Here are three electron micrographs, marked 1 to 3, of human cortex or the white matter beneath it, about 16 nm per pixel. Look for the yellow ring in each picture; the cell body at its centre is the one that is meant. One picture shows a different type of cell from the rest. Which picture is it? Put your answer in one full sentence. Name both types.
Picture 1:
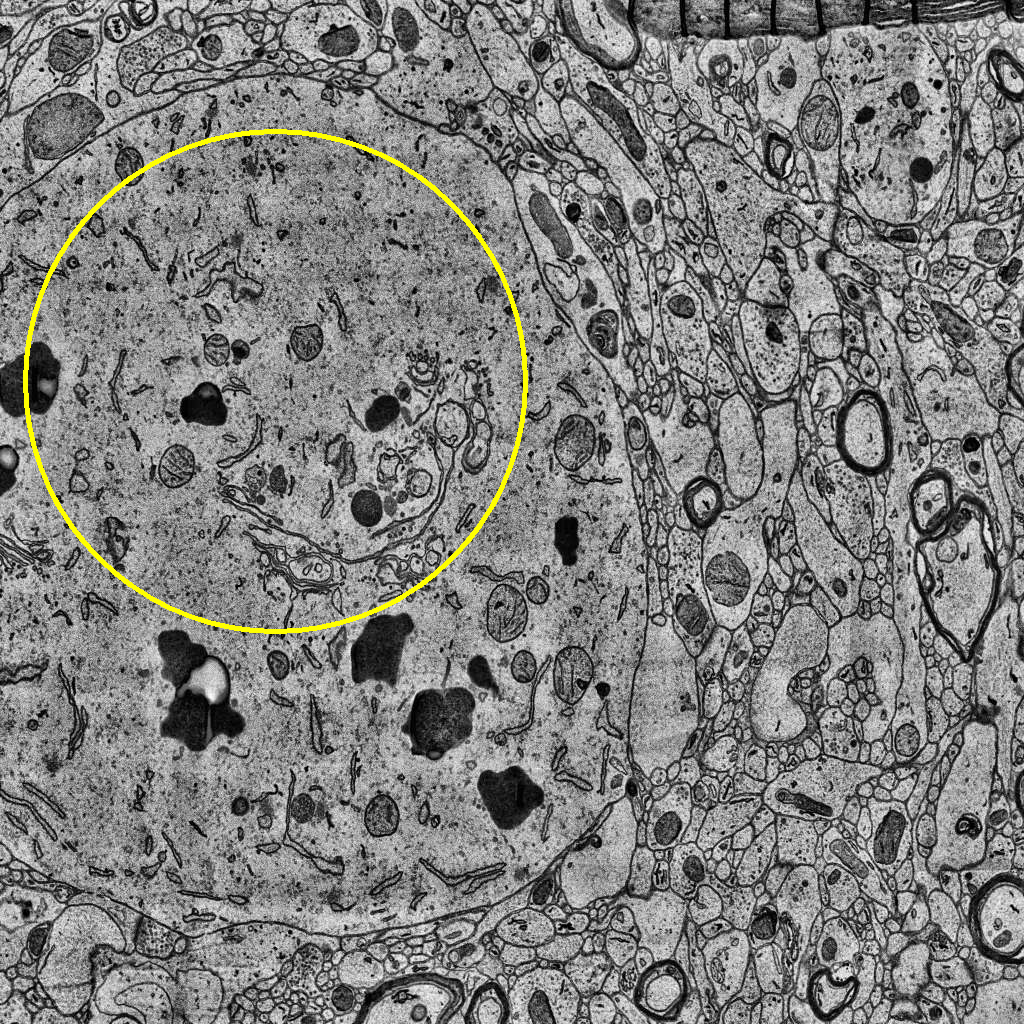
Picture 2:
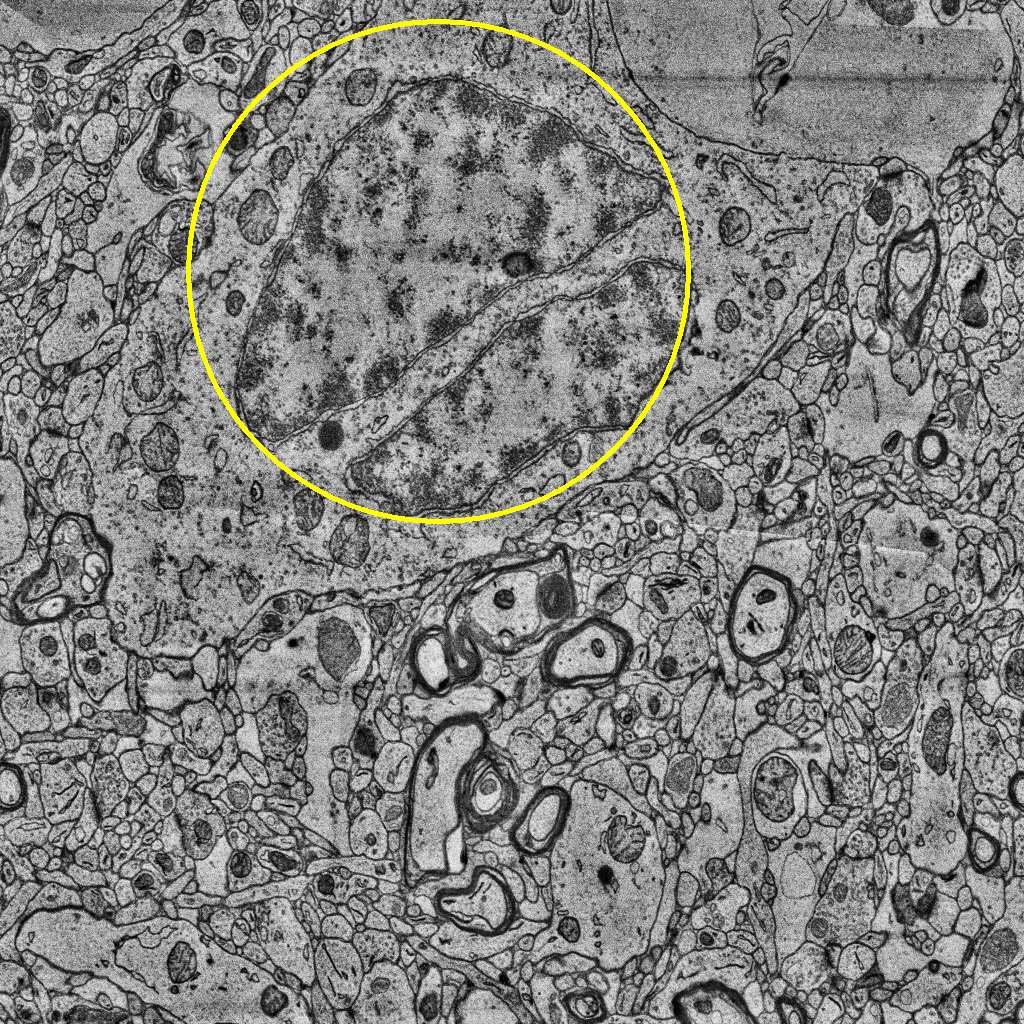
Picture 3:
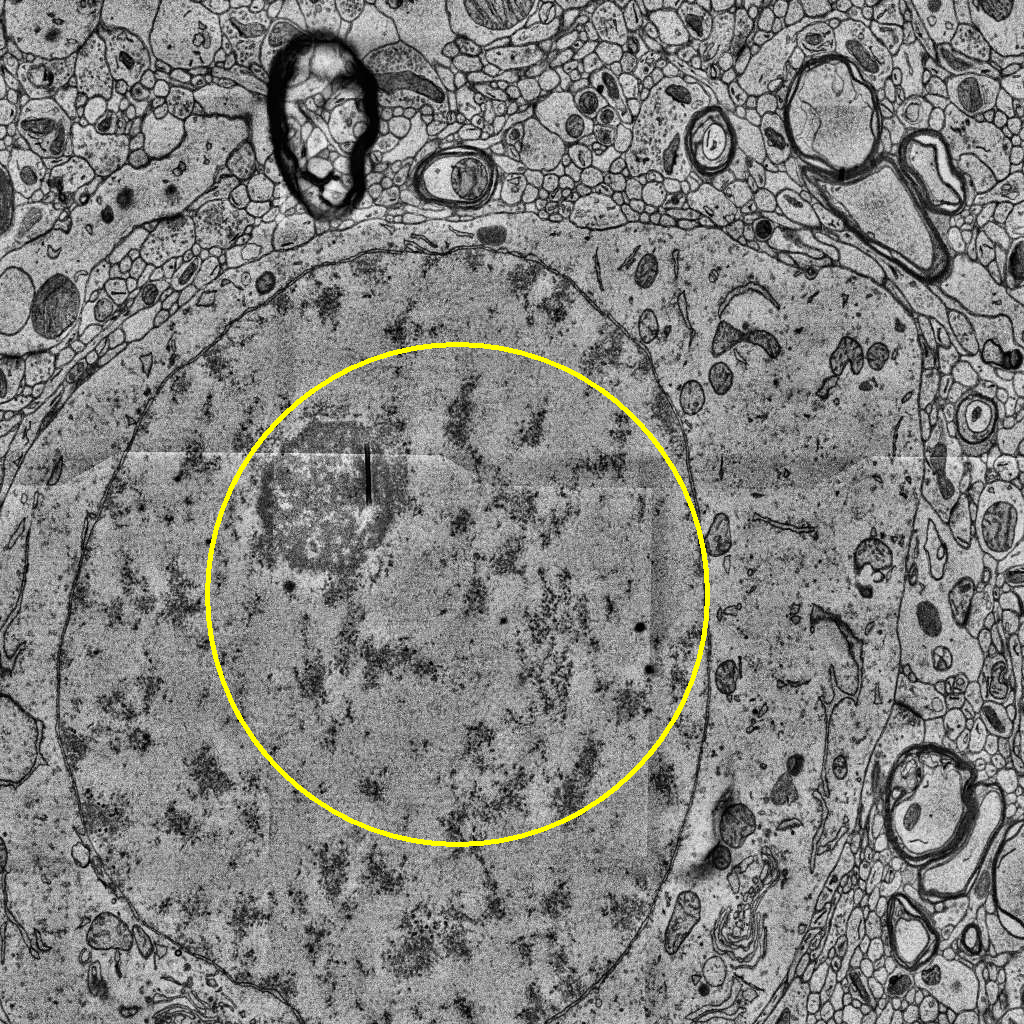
The different one is picture 2; it shows an interneuron, whereas all the others show pyramidal neurons.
